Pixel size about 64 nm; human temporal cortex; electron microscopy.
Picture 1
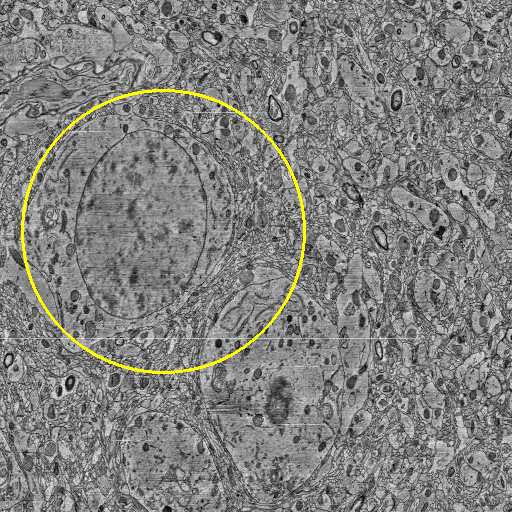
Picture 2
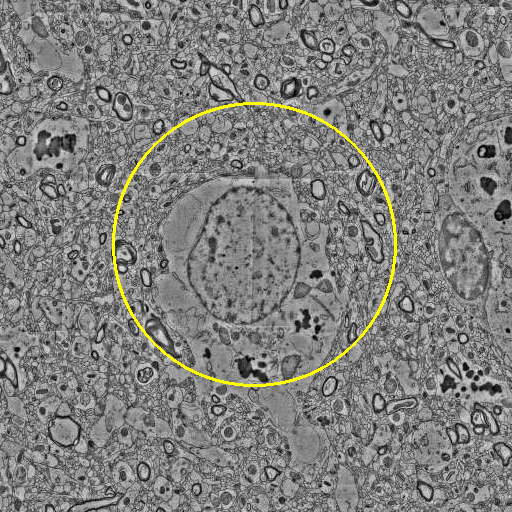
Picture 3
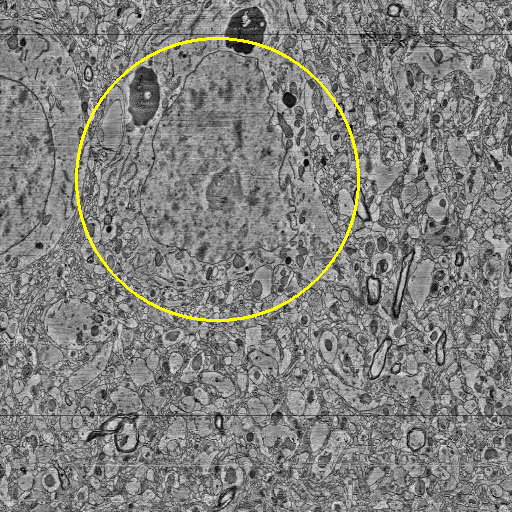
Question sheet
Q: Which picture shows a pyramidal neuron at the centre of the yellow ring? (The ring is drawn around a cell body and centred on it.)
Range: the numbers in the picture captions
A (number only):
1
